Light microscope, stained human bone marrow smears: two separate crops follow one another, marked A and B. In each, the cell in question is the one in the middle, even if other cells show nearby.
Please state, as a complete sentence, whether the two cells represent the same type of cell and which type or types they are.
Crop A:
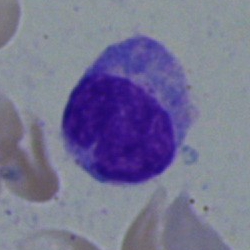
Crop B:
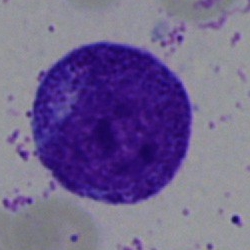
No, crop A and crop B contain, respectively, a monocyte and a promyelocyte.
